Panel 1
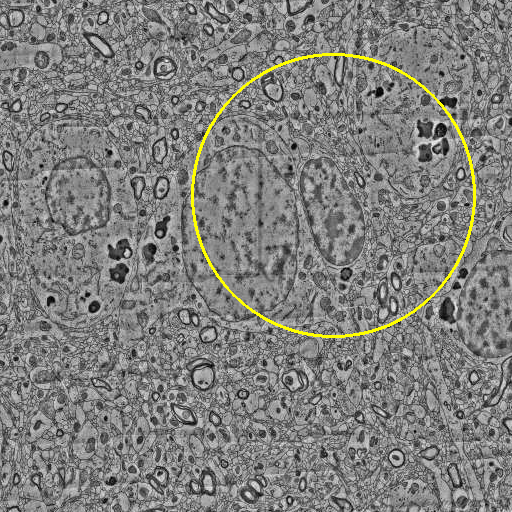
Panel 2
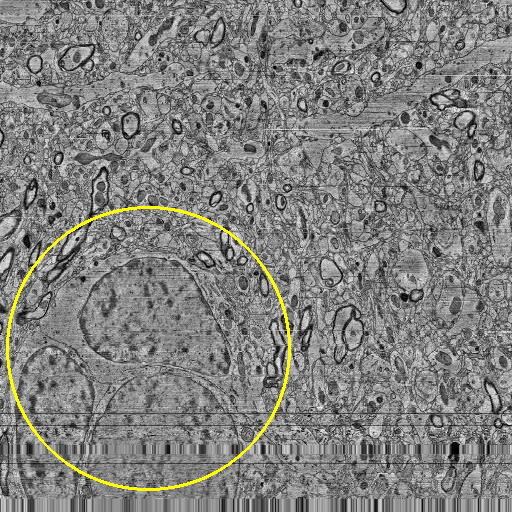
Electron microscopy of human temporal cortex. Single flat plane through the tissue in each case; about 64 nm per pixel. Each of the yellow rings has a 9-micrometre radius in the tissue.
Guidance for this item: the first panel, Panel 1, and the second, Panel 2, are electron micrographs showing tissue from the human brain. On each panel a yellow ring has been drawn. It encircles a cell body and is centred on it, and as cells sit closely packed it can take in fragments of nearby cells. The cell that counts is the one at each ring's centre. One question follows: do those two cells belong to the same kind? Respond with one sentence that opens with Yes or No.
Yes, the cells at the ring centres in Panel 1 and Panel 2 are of one kind.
